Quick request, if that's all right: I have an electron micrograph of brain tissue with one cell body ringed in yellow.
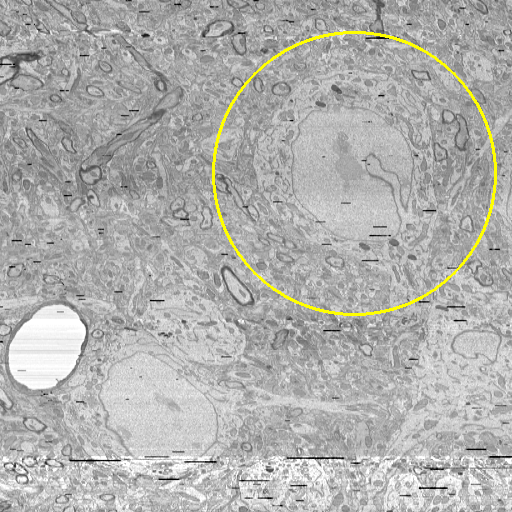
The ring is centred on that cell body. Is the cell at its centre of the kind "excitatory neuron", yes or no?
no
